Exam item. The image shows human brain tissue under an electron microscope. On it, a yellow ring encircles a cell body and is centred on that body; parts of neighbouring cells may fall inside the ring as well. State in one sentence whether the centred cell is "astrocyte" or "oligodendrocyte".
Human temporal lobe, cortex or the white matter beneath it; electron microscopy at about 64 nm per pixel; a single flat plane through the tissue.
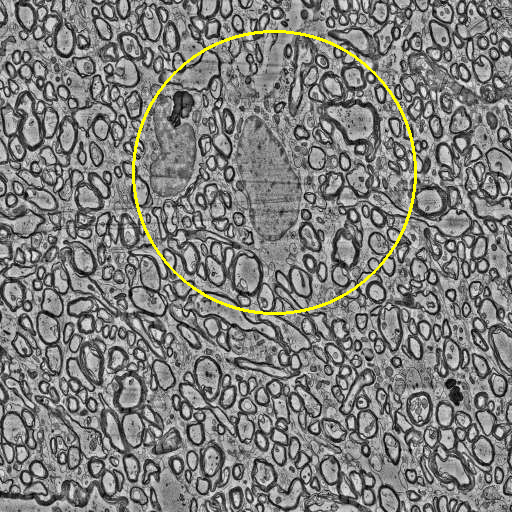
The cell body centred in the ring is an astrocyte.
